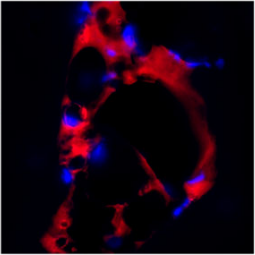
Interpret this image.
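The red signal forms broad, irregular bands and sheets that curve around dark, empty-looking spaces, outlining rounded areas in the field. Blue nuclei lie along and within these red bands, several of them flattened or elongated. A few nuclei in the lower part of the field lie apart from the red signal.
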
